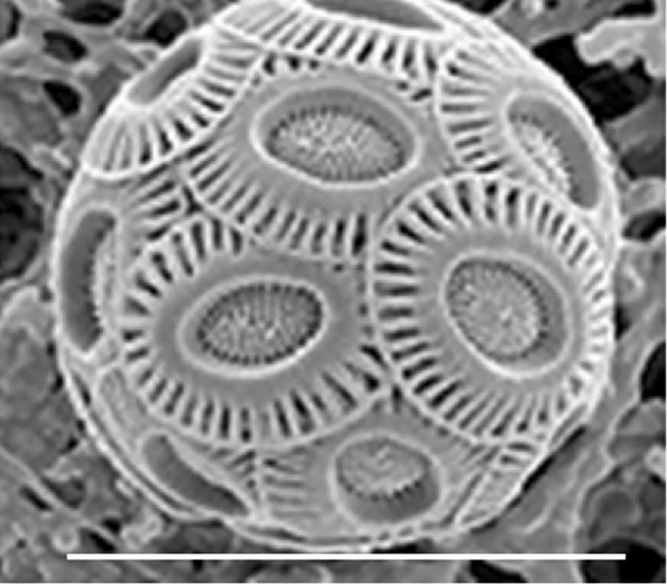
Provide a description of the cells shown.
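A single spherical cell is seen, enclosed by a shell of overlapping oval plates that interlock over its whole surface. Each plate has a raised rim around a central oval area with a finely granular or latticed texture, and from this centre a ring of evenly spaced, slat-like elements radiates outward to the plate's edge, like spokes of a wheel. The plates overlap at their margins, so that the cell looks armoured. Amorphous material lies in the background. This plated sphere is a coccolithophore, a calcifying planktonic alga.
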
